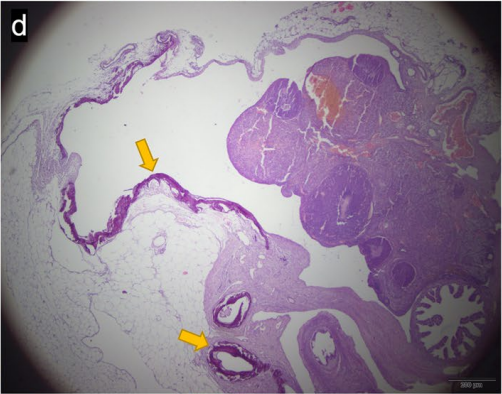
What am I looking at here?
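This low-magnification section shows ovarian tissue to the right, with rounded follicles and a tube with richly folded lining at its lower edge. To the left a thin, wavy membrane encloses a pale, loose space, and along part of this membrane runs a dense, dark purple band. Nearby a small tube cut in cross section has a similar dark purple rim around its lumen. Reddish patches of blood are seen in the upper part of the ovarian tissue.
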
